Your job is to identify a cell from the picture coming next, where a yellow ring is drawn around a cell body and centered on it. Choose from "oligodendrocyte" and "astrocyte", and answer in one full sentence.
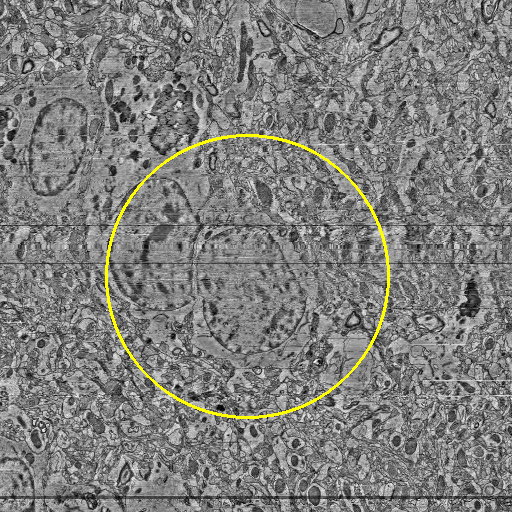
Centered in the yellow ring of the picture is the body of an astrocyte.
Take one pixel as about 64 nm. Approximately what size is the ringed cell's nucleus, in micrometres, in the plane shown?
The nucleus has a long axis of about 9 micrometres and a short axis of about 7 micrometres in this plane.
